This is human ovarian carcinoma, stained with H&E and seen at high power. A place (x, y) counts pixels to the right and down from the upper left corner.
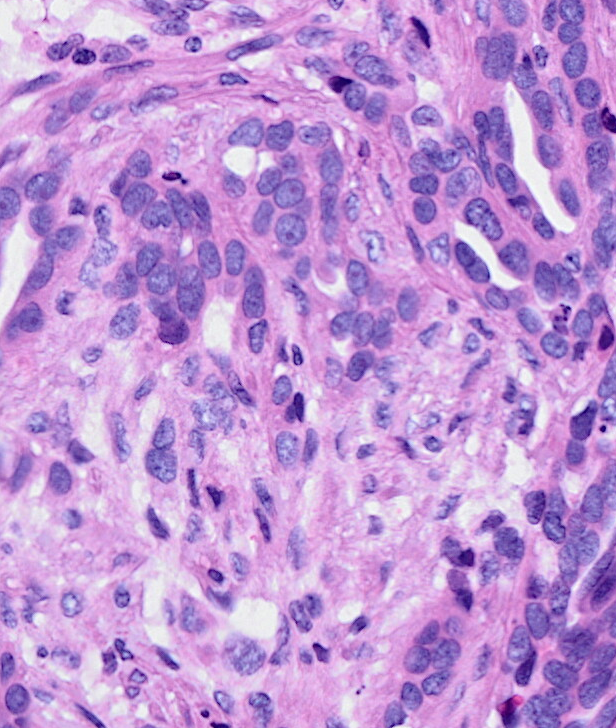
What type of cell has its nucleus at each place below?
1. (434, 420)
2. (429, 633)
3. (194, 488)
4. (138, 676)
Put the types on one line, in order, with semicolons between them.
fibroblast; carcinoma cell; fibroblast; fibroblast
